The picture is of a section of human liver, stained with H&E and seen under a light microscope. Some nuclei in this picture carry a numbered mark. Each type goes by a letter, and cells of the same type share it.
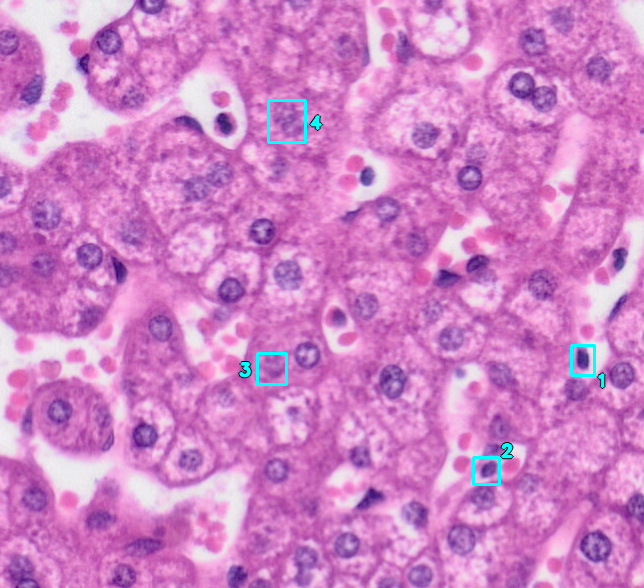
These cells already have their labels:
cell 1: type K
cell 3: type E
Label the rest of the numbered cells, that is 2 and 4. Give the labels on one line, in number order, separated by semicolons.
type K; type E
